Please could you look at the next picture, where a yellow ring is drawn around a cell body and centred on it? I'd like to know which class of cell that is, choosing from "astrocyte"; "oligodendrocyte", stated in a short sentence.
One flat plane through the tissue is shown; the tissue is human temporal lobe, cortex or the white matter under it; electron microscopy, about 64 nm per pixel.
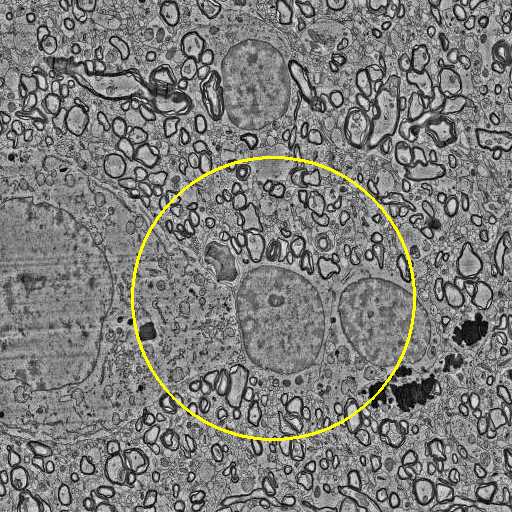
The ring's centre lies on an oligodendrocyte.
